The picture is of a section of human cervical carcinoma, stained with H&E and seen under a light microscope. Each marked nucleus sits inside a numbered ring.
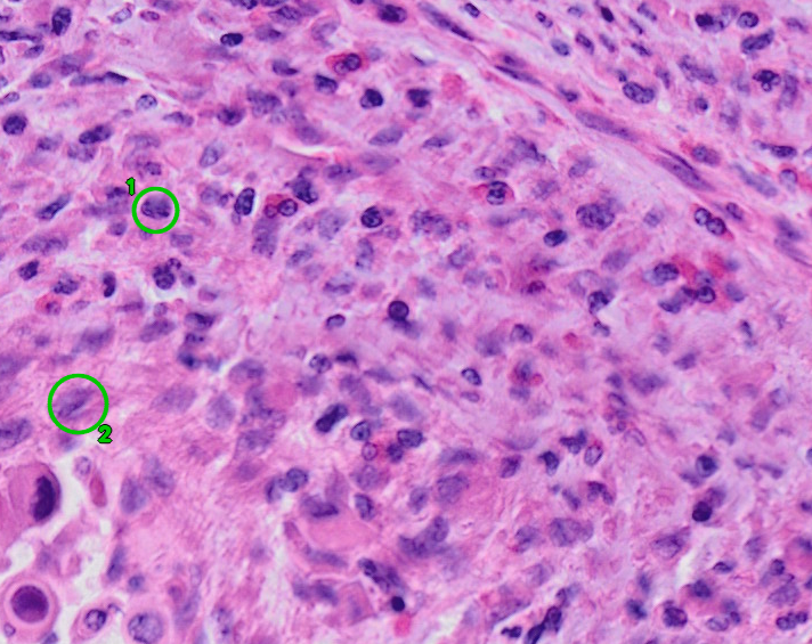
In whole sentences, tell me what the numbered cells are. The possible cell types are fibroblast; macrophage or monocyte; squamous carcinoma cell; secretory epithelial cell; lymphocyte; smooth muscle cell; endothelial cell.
Cell 1 is a lymphocyte and cell 2 is a fibroblast.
